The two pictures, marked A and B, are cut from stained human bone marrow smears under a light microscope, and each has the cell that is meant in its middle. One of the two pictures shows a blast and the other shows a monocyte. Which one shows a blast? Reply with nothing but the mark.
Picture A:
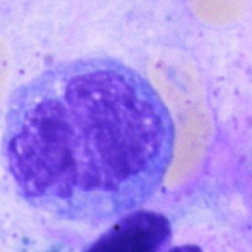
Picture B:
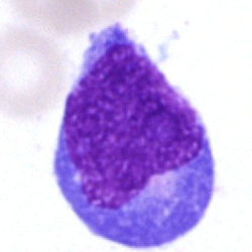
B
